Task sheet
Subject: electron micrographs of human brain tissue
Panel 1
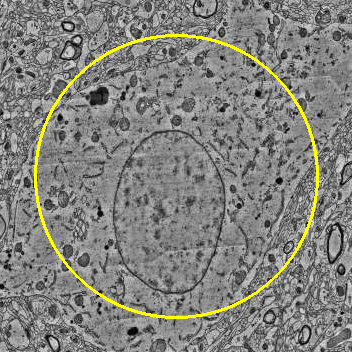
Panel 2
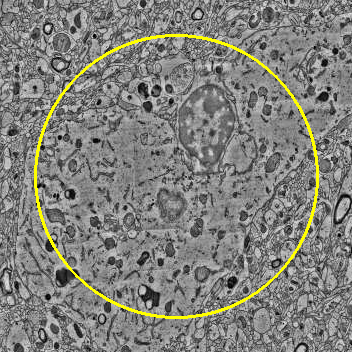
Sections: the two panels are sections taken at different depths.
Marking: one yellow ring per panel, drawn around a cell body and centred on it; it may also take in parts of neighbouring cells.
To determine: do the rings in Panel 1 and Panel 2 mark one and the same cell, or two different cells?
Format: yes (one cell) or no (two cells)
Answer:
yes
